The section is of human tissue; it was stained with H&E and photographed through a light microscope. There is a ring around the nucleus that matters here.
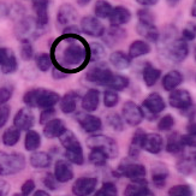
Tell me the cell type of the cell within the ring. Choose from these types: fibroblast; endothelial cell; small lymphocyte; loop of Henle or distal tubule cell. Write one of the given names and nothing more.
small lymphocyte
